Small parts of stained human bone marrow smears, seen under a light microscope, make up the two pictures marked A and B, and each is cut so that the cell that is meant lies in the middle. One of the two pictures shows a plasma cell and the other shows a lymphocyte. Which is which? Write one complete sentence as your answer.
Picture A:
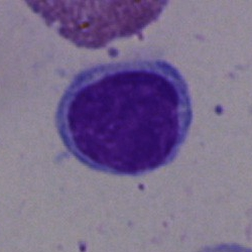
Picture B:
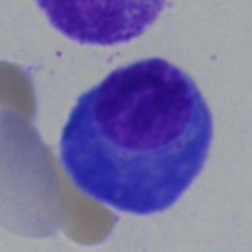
The cell in picture A is a lymphocyte, and the one in picture B is a plasma cell.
